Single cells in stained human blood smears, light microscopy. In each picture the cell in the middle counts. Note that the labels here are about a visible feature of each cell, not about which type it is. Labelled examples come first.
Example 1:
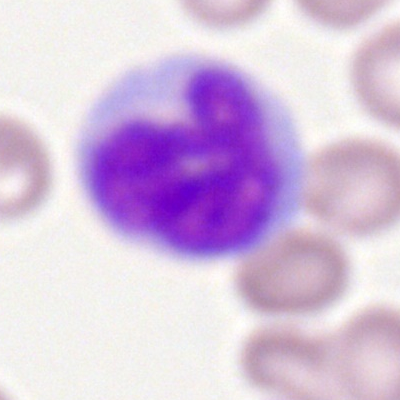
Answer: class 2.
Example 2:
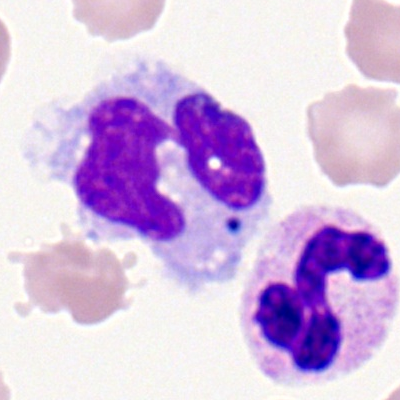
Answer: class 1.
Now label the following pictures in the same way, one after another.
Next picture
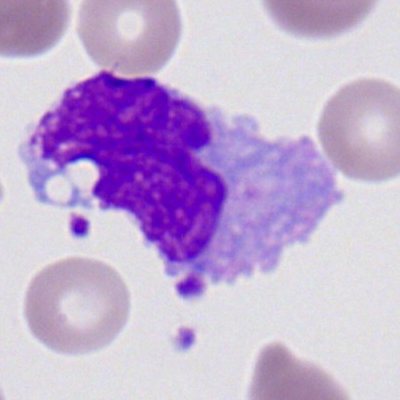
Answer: class 1.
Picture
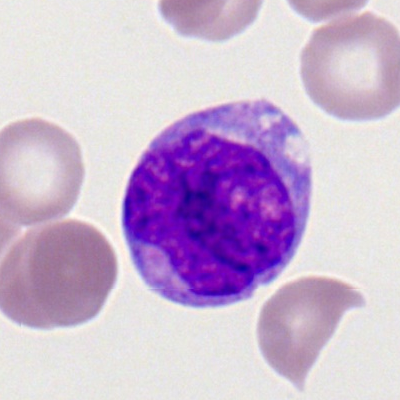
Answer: class 2.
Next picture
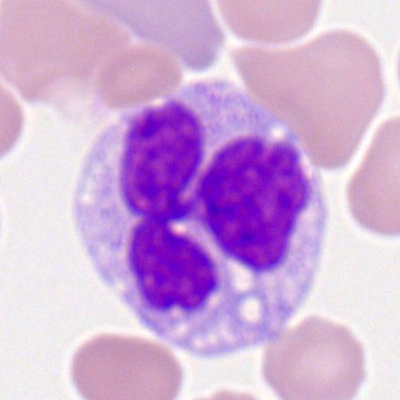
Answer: class 1.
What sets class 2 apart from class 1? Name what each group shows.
class 2, scant cytoplasm; class 1, abundant cytoplasm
